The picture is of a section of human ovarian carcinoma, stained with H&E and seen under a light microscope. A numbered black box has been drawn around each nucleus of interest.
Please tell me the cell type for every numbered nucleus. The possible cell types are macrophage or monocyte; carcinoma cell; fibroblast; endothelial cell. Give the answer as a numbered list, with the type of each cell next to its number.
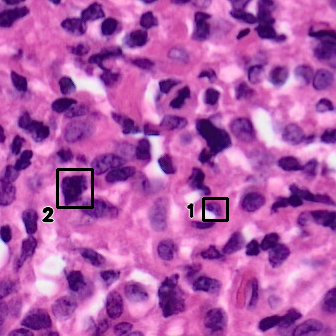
1. endothelial cell
2. carcinoma cell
